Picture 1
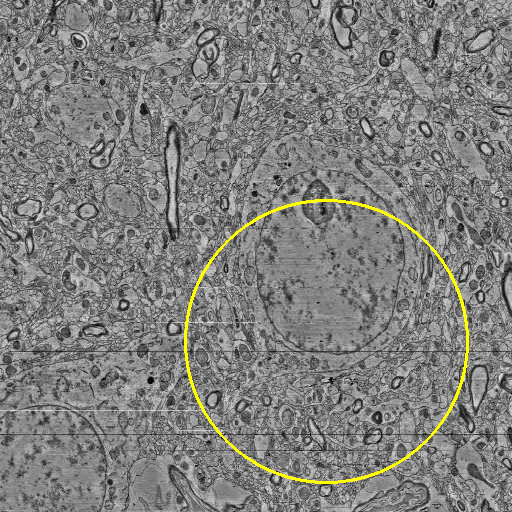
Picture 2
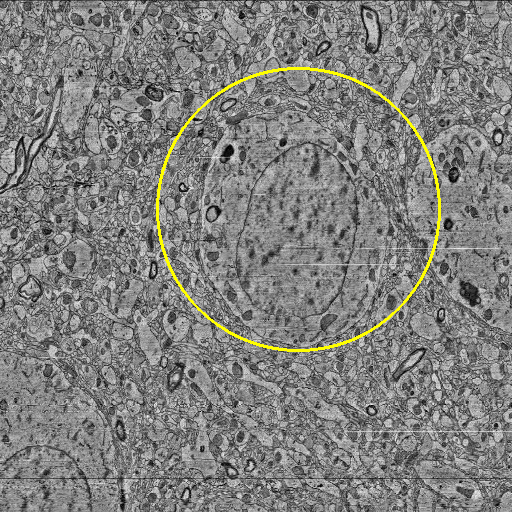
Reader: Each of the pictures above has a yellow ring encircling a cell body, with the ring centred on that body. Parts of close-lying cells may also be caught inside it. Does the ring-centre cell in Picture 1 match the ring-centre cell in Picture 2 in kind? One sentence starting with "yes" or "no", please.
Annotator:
Yes, Picture 1 and Picture 2 show ring-centre cells of a single kind.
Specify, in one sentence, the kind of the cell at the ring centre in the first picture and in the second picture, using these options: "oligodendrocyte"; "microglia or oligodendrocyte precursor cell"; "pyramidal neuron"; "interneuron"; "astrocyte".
In each picture the ringed cell is a pyramidal neuron.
